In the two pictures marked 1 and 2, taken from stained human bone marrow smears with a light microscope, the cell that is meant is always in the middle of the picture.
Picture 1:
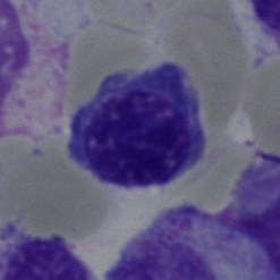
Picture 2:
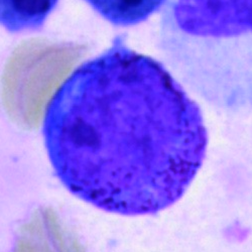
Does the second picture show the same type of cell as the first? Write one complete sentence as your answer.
No, the types are not the same, since picture 1 shows an erythroblast and picture 2 a promyelocyte.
